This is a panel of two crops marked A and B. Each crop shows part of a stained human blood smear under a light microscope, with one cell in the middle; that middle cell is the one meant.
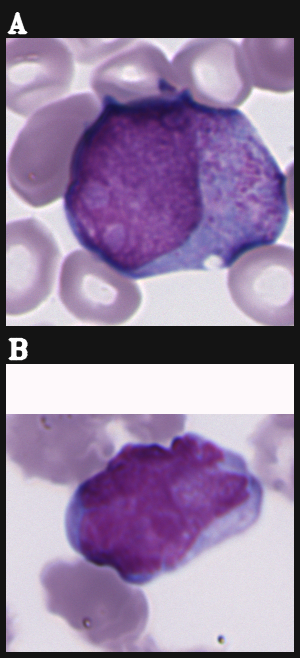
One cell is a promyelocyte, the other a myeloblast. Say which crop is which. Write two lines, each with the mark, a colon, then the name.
A: promyelocyte
B: myeloblast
